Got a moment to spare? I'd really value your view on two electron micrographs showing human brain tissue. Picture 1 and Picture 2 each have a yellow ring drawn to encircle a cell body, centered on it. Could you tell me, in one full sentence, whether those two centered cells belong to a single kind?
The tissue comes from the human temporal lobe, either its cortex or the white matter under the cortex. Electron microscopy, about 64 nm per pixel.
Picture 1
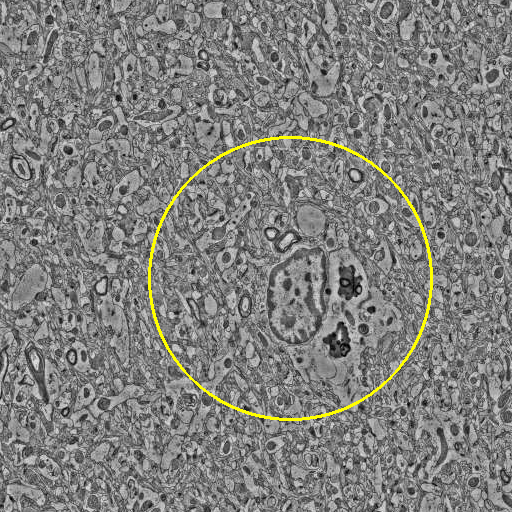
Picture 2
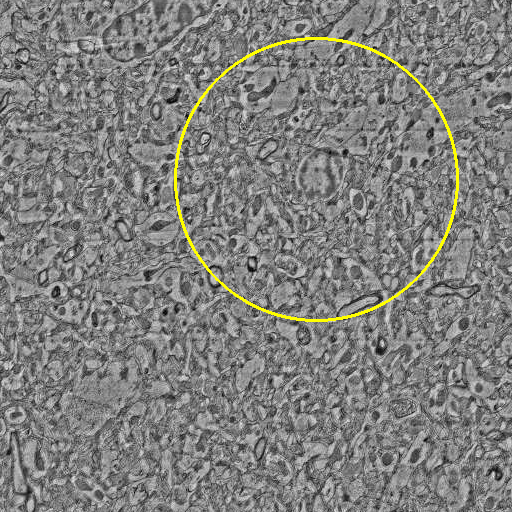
Yes, the two centered cells in Picture 1 and Picture 2 are of a single kind.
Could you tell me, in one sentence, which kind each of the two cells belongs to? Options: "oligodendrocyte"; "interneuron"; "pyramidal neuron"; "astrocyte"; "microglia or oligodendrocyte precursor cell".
In the first picture and in the second, the ring is centred on a microglial cell or oligodendrocyte precursor cell.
